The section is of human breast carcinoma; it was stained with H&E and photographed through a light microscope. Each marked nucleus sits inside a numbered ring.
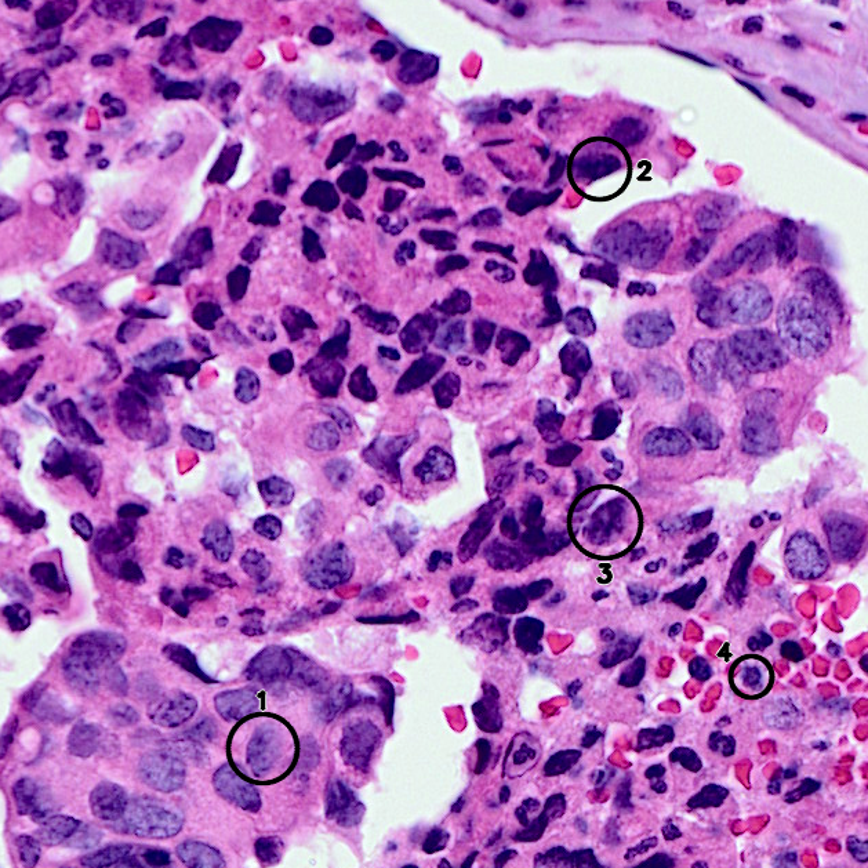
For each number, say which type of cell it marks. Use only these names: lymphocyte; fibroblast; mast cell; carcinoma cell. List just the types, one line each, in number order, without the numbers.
carcinoma cell
carcinoma cell
carcinoma cell
lymphocyte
